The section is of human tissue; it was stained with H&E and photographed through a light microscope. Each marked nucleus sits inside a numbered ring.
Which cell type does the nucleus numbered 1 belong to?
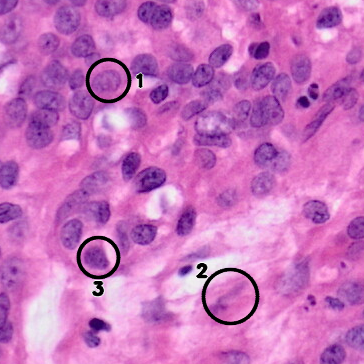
carcinoma cell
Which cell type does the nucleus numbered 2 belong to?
fibroblast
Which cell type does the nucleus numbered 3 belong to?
macrophage or monocyte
